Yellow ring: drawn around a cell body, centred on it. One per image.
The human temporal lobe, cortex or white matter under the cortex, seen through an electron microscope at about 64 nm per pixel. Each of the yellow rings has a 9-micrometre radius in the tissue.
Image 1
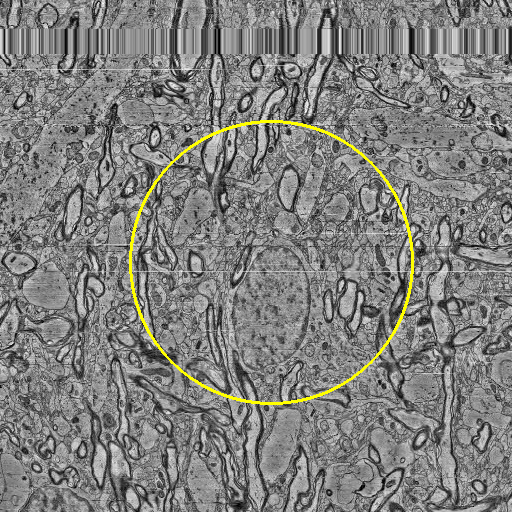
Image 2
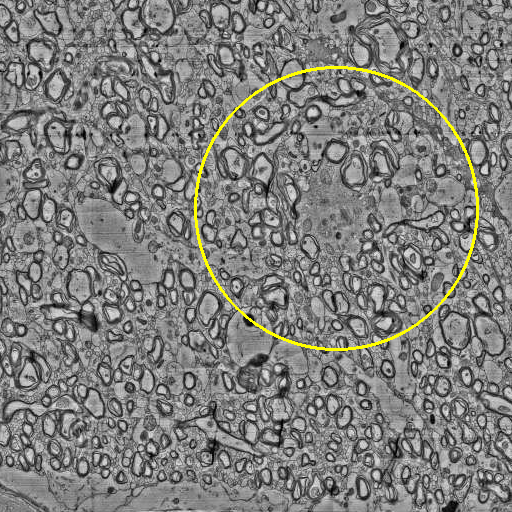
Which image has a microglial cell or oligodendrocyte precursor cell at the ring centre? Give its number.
1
